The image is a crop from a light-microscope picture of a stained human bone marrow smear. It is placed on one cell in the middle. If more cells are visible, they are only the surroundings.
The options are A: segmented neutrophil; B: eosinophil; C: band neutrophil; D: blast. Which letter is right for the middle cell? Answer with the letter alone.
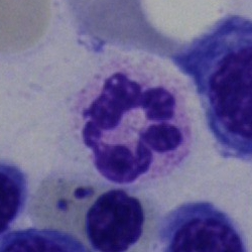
A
